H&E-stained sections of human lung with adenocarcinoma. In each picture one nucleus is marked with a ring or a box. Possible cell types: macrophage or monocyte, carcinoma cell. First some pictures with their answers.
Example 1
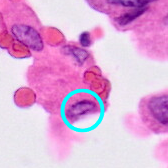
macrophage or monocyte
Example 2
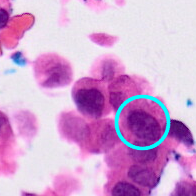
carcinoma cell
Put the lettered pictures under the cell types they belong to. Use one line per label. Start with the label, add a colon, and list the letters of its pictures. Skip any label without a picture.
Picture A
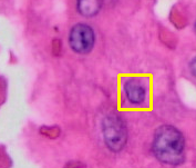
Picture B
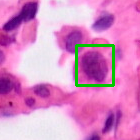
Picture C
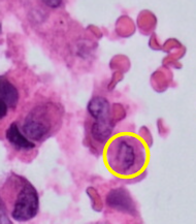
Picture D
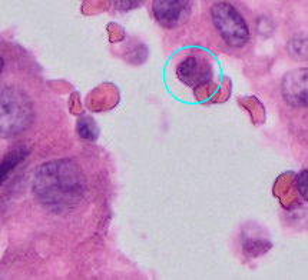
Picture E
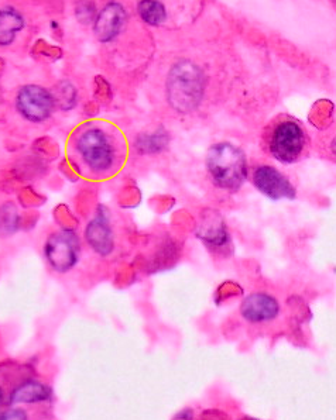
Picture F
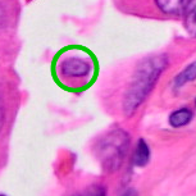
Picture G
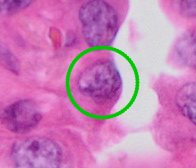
macrophage or monocyte: A, B, C, D, E, F
carcinoma cell: G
